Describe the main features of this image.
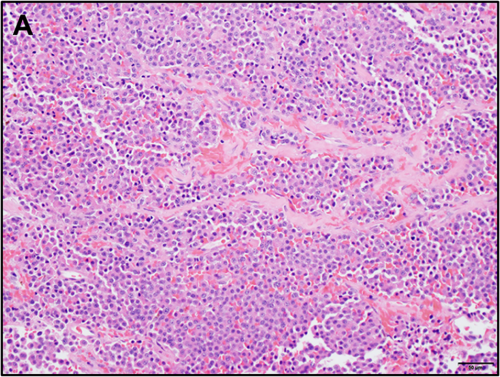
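Monotonous neoplastic cells form broad, closely packed sheets. Bands of pink fibrous tissue run across the field and divide the sheets into large groups. There is little variation in nuclear shape or size from cell to cell.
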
